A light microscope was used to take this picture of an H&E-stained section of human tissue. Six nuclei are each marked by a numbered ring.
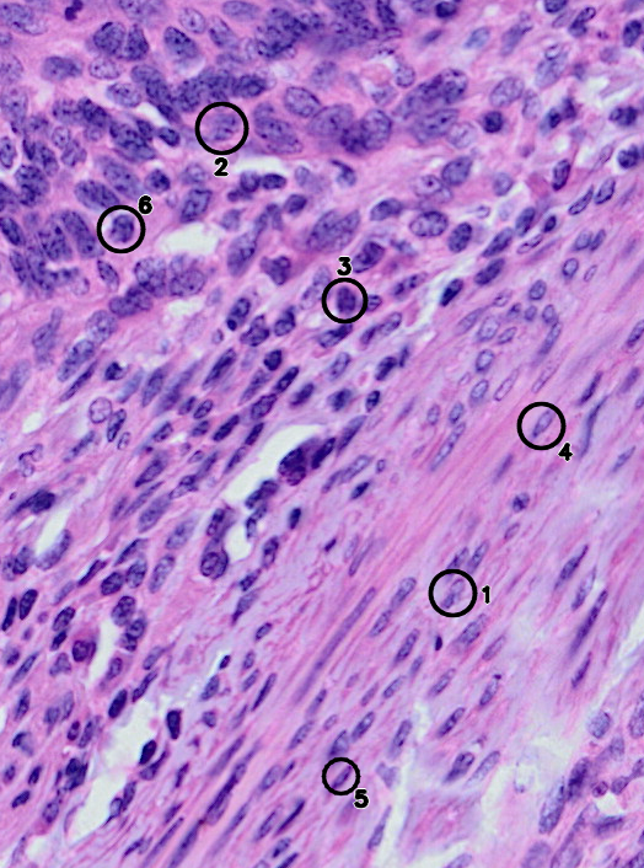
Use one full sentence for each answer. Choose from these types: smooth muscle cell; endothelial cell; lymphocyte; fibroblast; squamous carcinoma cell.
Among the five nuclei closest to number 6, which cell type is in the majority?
The majority of the five nuclei closest to number 6 belong to squamous carcinoma cells.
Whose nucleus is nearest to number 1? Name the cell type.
Number 1 lies closest to the nucleus of a smooth muscle cell.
